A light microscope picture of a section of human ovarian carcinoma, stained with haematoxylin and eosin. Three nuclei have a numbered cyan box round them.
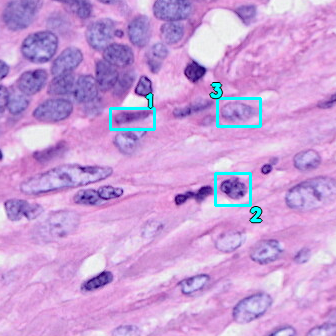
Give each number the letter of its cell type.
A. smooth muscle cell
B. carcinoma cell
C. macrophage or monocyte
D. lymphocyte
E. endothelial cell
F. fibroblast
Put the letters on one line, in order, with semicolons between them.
F; D; F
